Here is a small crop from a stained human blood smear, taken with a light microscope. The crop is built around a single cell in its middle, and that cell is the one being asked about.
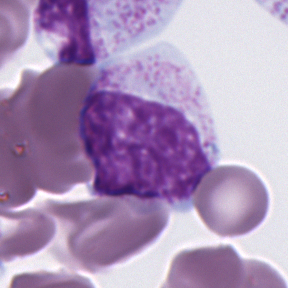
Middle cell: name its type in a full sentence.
The cell in the middle of the field of view is a myelocyte.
